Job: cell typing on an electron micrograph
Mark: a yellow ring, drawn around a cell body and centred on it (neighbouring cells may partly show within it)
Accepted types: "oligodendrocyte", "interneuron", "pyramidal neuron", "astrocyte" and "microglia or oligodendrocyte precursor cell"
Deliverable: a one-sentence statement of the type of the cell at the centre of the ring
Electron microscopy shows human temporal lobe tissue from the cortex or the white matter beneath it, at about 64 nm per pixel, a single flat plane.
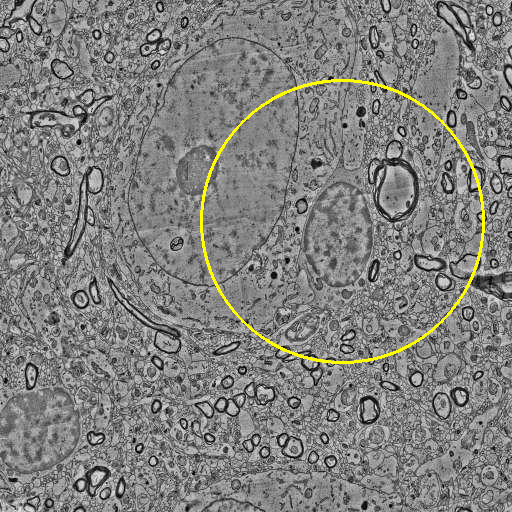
The centred cell body is that of an oligodendrocyte.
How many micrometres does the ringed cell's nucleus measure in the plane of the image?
Approximately 7 by 4 micrometers, which makes the nucleus clearly longer than it is wide in this plane.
